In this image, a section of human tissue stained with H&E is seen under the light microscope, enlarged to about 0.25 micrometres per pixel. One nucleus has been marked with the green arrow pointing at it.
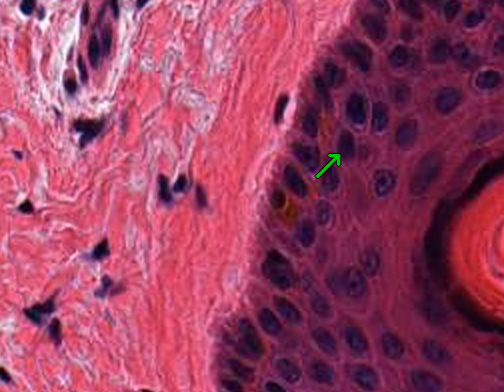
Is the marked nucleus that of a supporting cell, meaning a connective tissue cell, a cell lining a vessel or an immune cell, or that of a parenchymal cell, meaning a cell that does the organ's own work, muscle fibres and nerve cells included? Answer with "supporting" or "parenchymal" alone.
parenchymal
